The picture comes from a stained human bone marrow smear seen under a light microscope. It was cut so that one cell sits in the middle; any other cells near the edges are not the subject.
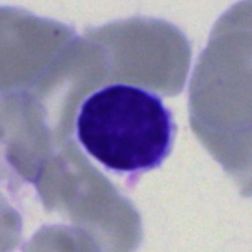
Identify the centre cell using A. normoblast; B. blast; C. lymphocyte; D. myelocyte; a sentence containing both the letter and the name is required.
Option C is correct in naming the middle cell a lymphocyte.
